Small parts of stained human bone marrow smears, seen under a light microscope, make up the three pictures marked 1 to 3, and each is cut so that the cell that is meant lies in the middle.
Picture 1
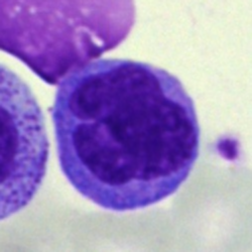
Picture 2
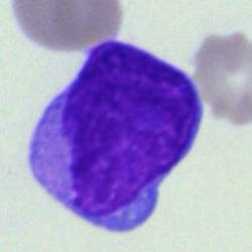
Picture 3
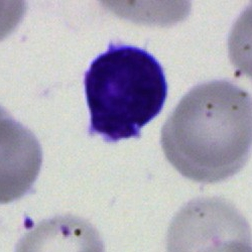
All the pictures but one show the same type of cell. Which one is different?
1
